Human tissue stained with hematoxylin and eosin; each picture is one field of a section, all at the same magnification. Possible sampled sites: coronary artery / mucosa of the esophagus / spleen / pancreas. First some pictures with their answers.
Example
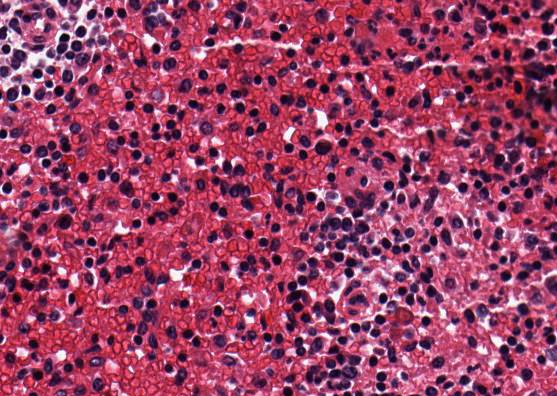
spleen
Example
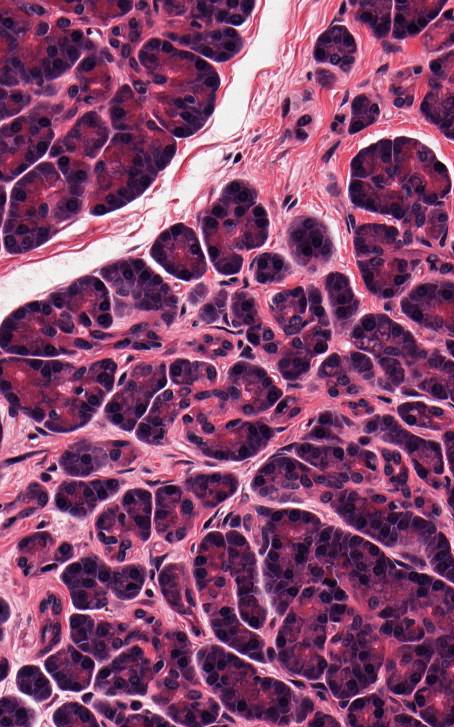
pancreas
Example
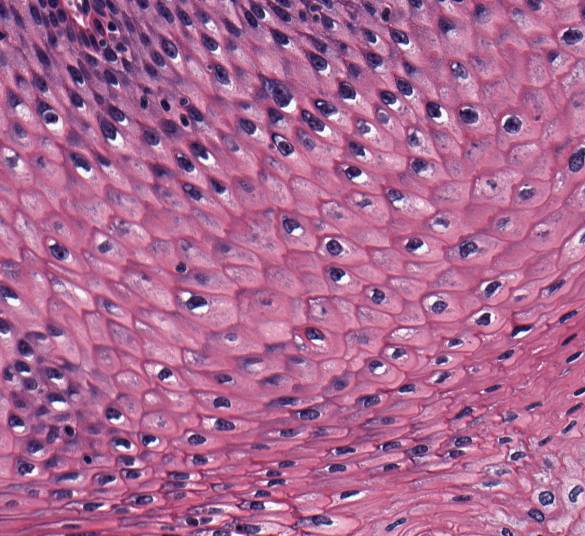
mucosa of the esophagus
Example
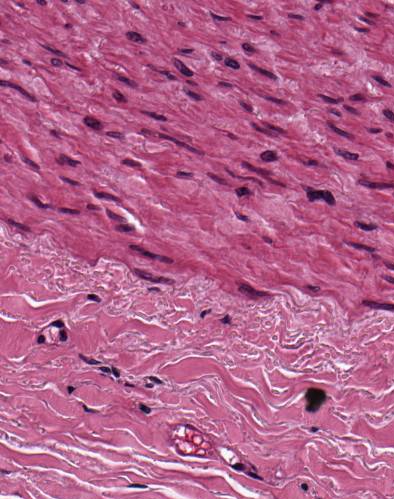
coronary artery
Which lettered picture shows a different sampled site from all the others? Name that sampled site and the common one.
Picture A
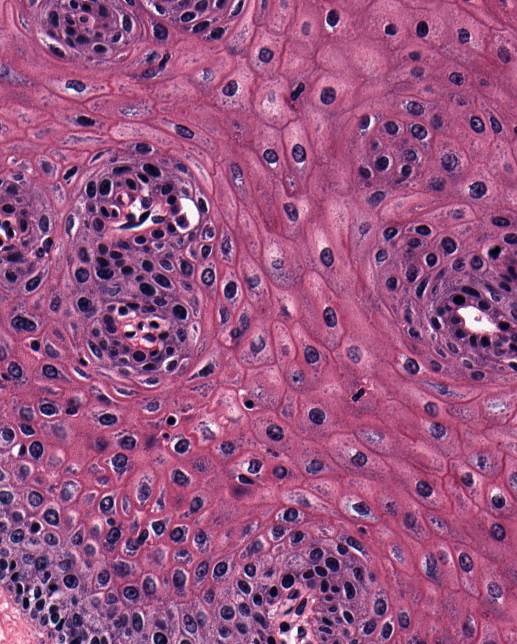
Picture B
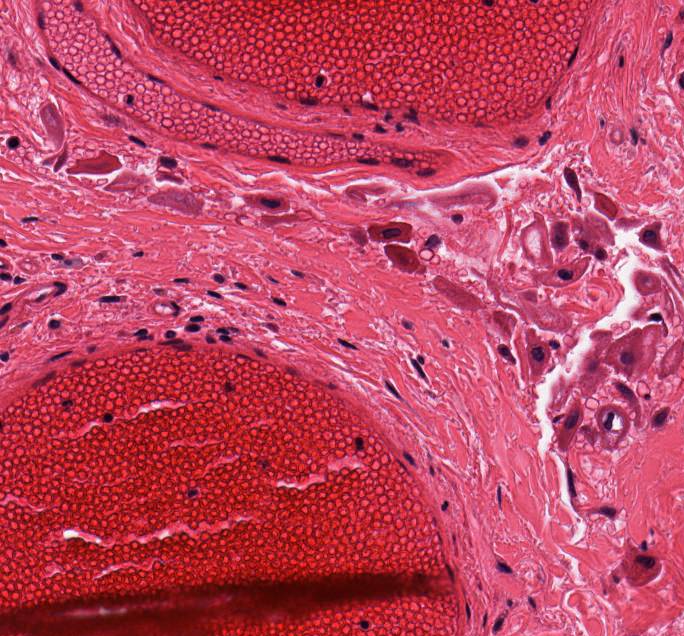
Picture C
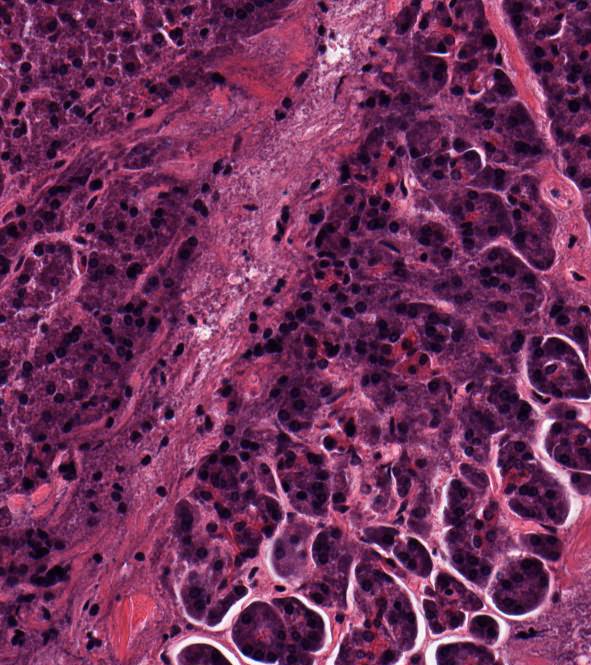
C (pancreas) is the exception; every other picture is mucosa of the esophagus.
